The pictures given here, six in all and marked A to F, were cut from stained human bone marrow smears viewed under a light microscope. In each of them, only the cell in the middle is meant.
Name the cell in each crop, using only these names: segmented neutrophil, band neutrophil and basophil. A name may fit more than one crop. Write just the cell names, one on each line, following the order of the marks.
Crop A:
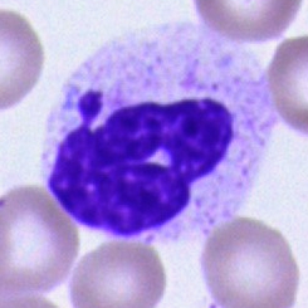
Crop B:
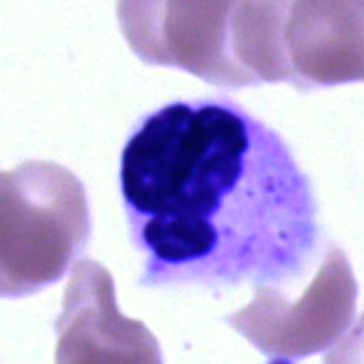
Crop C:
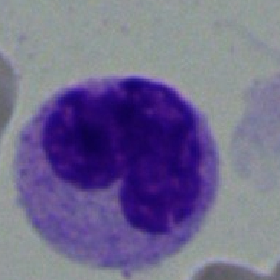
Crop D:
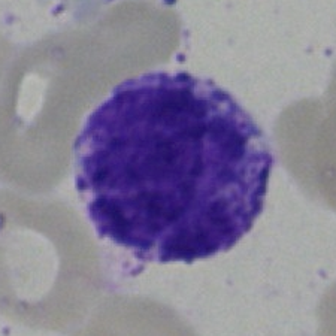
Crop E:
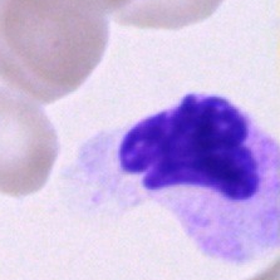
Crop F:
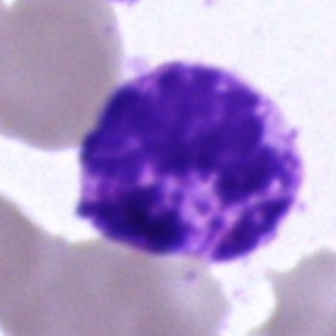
segmented neutrophil
segmented neutrophil
band neutrophil
basophil
segmented neutrophil
basophil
